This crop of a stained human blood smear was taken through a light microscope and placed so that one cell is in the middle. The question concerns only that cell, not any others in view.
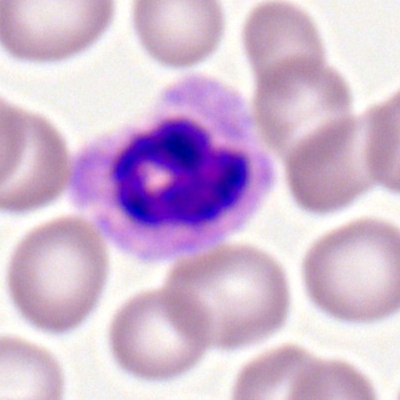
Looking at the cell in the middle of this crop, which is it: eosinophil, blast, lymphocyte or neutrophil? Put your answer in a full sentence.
Centred in the crop is a neutrophil.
